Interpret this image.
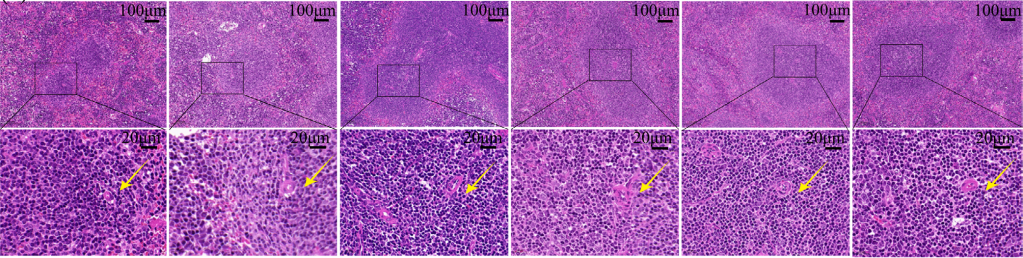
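Across the row of low-power views, the tissue is packed with small round cells with dark purple nuclei, arranged as darker rounded aggregates set in a paler, pinker background. The enlarged views below show crowded small lymphocyte-like cells with scant cytoplasm around a small vessel with a pink wall. The darker aggregates are the white pulp of the spleen, and the pinker surrounding tissue is red pulp. The aggregates look larger and more distinct in some views than in others.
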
